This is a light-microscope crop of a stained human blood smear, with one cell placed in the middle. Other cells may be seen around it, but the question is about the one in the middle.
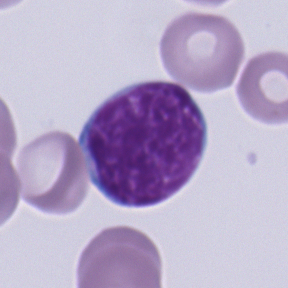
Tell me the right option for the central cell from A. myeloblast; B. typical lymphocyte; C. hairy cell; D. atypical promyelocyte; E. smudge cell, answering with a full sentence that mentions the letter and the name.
Option B is the correct option, with the middle cell being a typical lymphocyte.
